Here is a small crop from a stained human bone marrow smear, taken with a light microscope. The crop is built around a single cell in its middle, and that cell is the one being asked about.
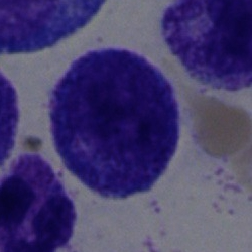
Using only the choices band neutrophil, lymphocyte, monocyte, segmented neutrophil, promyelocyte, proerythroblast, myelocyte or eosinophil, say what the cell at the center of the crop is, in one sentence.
As for the central cell, it is a promyelocyte.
